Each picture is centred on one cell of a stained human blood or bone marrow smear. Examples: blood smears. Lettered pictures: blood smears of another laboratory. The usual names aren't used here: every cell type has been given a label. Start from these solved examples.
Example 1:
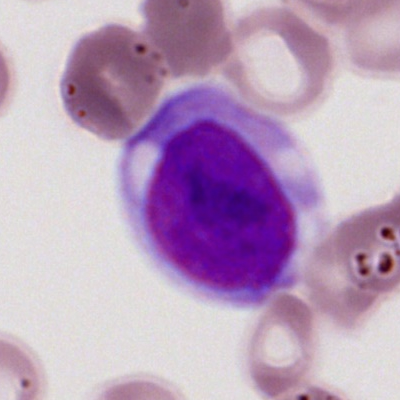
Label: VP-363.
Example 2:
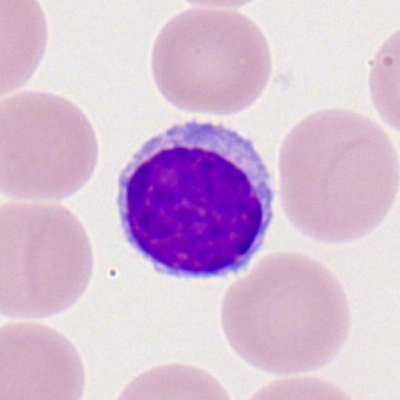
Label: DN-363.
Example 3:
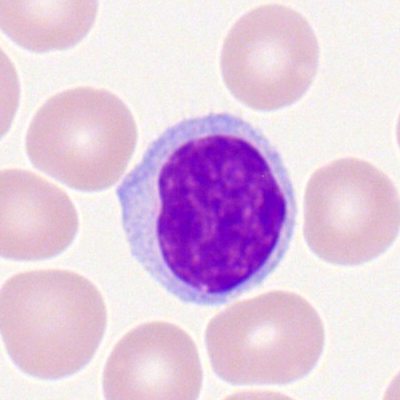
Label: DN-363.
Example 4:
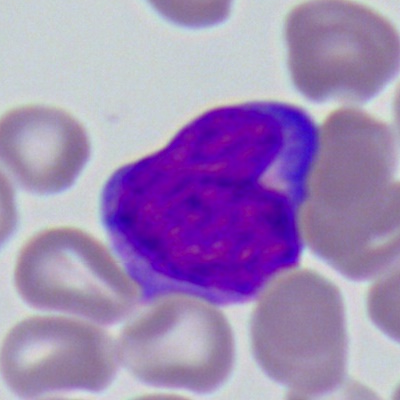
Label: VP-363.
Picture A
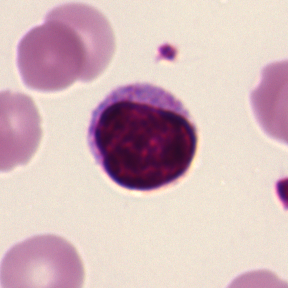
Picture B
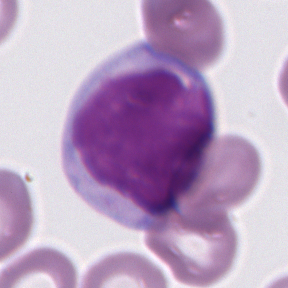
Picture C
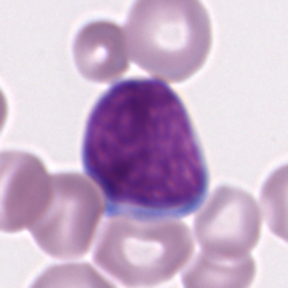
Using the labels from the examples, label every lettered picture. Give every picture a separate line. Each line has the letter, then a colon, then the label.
A: DN-363.
B: VP-363.
C: DN-363.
